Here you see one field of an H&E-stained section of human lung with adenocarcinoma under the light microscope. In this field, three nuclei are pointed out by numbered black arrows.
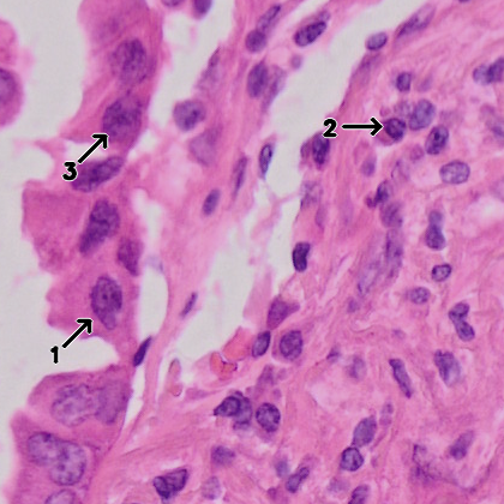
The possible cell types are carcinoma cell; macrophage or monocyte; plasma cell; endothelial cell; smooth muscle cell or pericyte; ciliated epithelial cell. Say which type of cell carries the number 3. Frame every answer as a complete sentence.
Nucleus 3 in this section belongs to a carcinoma cell.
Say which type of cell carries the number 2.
The expected answer is that cell 2 is a plasma cell.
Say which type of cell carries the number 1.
Marked with the number 1, this cell is a carcinoma cell.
